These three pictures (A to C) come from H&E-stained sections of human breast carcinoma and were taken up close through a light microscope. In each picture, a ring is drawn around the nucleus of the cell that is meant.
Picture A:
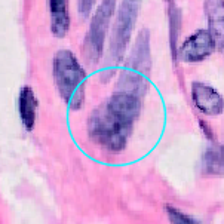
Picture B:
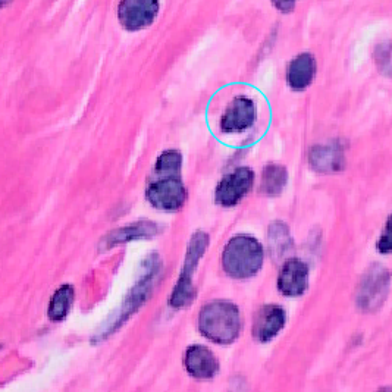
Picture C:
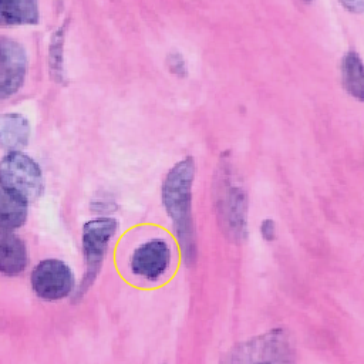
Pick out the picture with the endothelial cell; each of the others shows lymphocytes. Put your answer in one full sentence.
Picture A shows the endothelial cell.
